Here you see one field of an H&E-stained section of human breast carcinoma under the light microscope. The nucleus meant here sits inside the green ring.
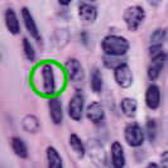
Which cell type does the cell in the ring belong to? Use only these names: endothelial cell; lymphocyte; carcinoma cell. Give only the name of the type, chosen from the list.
lymphocyte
